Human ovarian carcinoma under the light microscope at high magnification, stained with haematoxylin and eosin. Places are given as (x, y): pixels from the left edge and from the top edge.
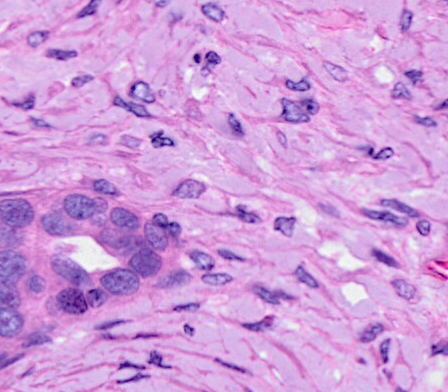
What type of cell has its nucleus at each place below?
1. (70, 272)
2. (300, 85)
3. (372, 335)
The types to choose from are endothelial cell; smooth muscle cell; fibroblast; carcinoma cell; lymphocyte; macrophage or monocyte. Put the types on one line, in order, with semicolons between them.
carcinoma cell; fibroblast; fibroblast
